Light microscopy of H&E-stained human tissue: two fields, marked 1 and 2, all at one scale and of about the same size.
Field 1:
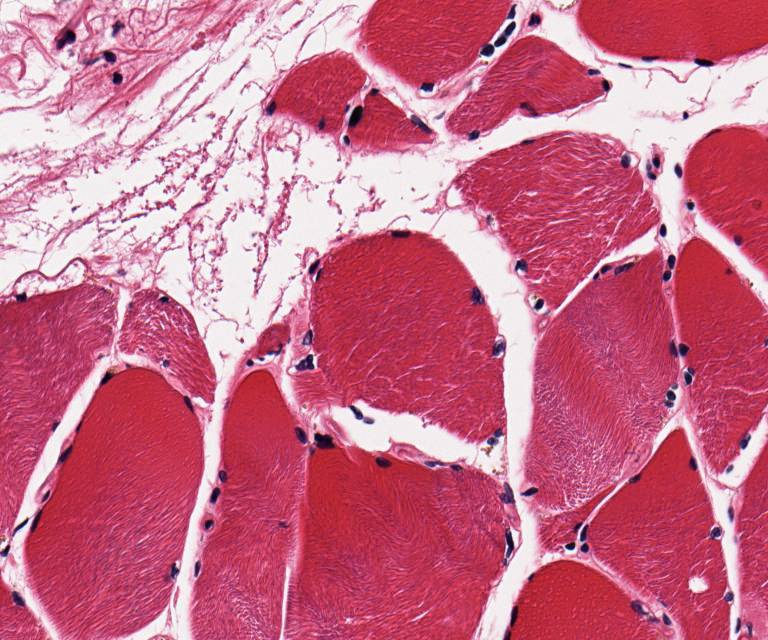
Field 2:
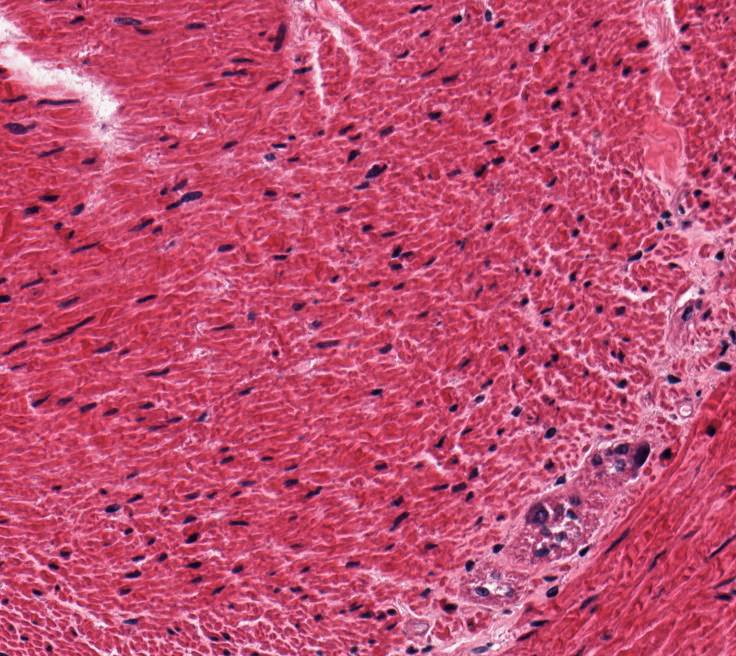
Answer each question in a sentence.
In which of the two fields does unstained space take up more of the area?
Field 1 has more white space.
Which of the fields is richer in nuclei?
More nuclei lie in field 2 than in field 1.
